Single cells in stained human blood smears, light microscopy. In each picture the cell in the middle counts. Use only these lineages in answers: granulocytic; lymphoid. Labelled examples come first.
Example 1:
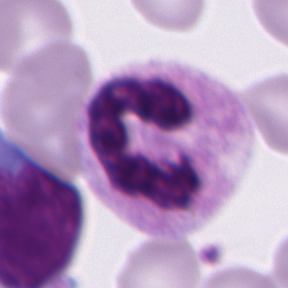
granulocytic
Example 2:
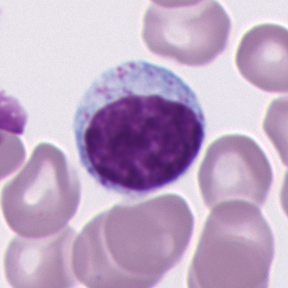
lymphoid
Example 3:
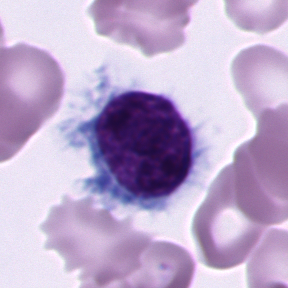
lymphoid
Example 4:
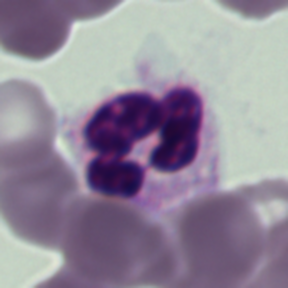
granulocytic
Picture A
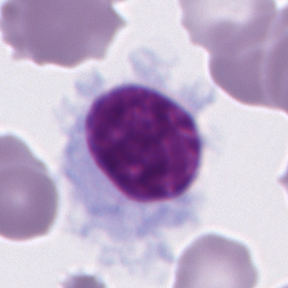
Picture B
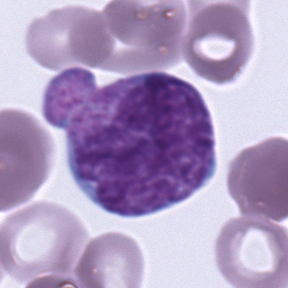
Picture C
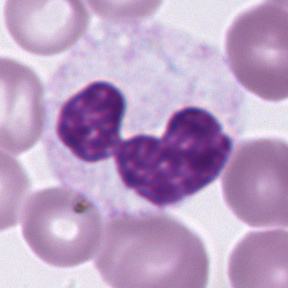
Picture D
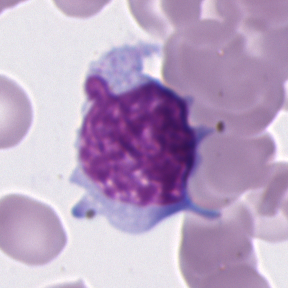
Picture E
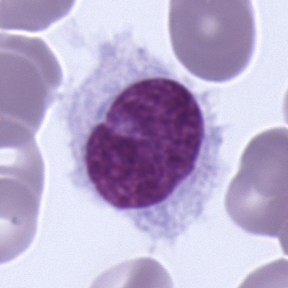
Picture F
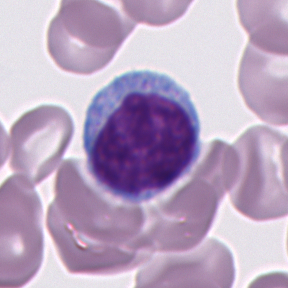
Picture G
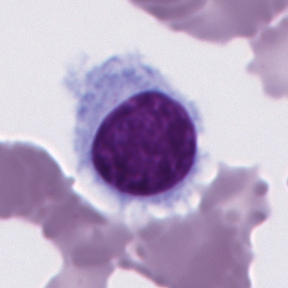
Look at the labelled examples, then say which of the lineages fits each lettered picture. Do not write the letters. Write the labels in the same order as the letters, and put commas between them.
lymphoid, granulocytic, granulocytic, lymphoid, lymphoid, lymphoid, lymphoid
